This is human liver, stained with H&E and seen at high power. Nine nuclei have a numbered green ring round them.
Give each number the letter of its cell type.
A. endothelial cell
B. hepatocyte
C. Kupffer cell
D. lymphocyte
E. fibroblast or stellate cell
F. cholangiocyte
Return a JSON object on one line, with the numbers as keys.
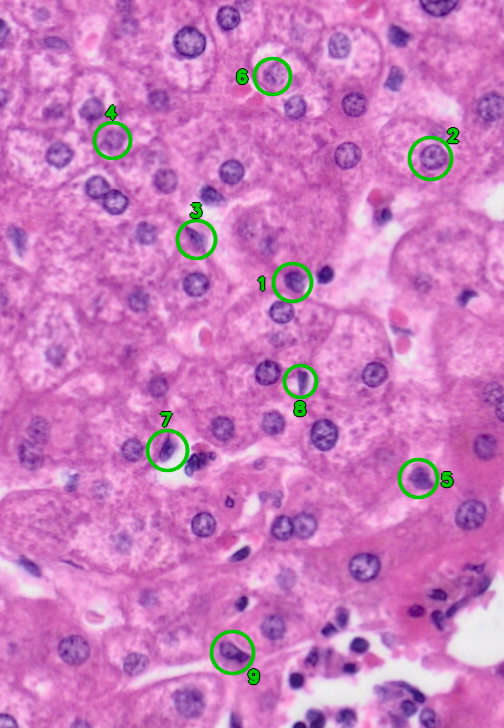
{"1": "E", "2": "B", "3": "A", "4": "B", "5": "A", "6": "B", "7": "A", "8": "A", "9": "C"}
